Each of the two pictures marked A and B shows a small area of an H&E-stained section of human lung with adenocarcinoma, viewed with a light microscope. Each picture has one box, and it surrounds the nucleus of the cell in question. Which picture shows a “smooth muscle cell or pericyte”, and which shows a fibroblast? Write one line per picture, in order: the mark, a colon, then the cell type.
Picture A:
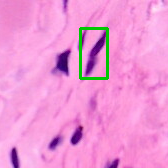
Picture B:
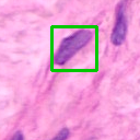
A: fibroblast
B: smooth muscle cell or pericyte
